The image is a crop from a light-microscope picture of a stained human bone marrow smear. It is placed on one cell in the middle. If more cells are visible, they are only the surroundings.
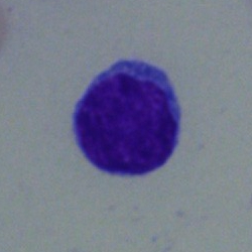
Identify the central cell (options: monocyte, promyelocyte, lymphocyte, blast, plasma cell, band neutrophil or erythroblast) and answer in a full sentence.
What sits at the centre of this crop is a lymphocyte.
